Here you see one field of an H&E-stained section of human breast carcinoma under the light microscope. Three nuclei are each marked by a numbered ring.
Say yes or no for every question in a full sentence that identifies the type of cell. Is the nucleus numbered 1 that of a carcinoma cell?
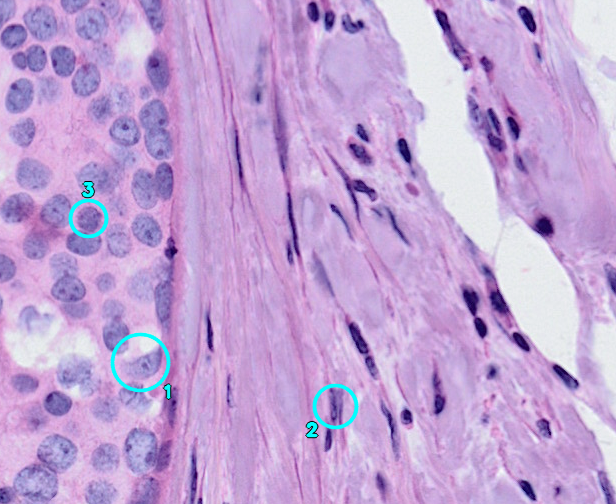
Yes, the cell that number 1 points to is a carcinoma cell.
